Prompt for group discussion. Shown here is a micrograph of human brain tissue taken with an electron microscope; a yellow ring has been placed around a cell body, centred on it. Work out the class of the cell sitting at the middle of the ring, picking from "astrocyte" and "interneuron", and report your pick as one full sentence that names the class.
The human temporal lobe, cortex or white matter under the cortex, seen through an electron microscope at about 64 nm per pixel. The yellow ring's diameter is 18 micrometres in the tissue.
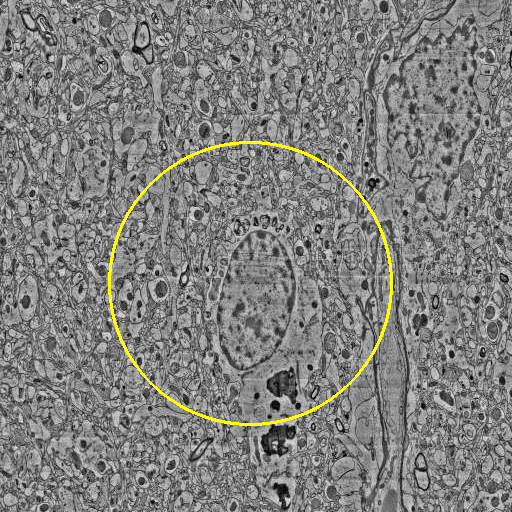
The cell sitting at the middle of the yellow ring is an astrocyte.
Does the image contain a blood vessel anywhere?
Yes, one shows.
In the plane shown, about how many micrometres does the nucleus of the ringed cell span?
The nucleus is about 9 micrometres in length and 5 in width, clearly longer than it is wide in this plane.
